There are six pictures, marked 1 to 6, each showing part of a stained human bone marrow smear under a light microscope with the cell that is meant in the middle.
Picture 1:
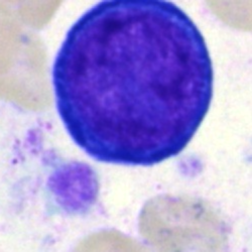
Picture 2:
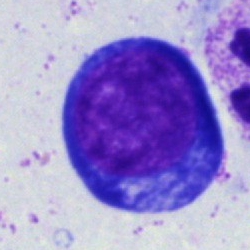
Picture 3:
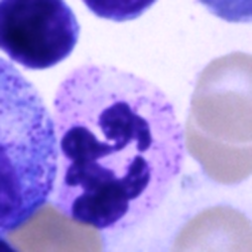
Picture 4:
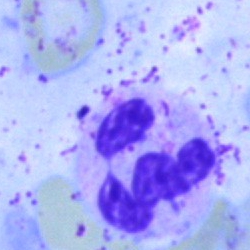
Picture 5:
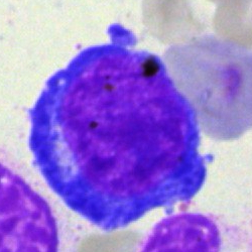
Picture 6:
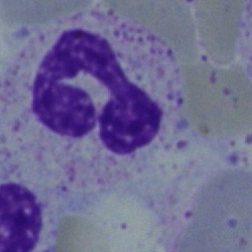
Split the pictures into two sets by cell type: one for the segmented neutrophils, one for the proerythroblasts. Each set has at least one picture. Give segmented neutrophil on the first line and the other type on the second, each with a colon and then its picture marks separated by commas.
segmented neutrophil: 3, 4, 6
proerythroblast: 1, 2, 5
